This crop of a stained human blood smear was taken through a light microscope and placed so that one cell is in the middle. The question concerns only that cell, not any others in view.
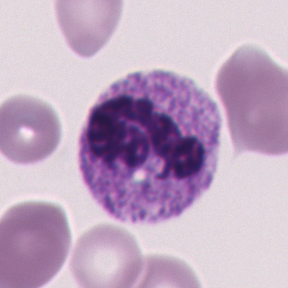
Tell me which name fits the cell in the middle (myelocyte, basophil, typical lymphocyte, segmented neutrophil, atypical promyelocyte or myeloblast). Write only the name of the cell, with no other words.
segmented neutrophil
